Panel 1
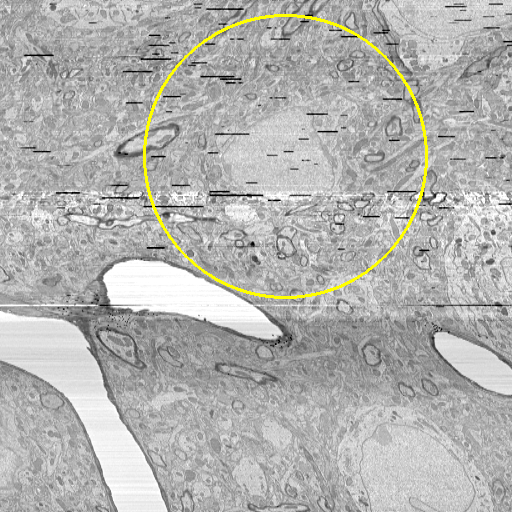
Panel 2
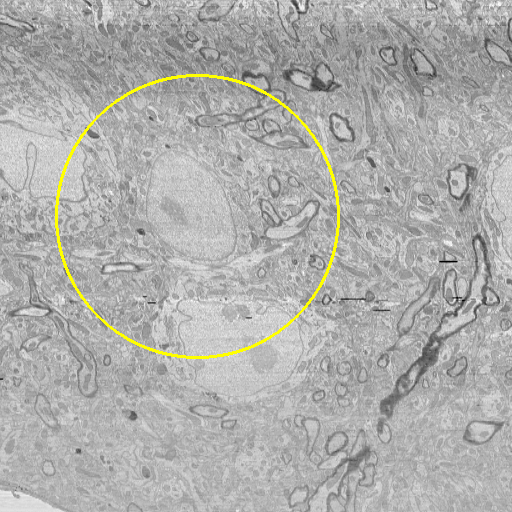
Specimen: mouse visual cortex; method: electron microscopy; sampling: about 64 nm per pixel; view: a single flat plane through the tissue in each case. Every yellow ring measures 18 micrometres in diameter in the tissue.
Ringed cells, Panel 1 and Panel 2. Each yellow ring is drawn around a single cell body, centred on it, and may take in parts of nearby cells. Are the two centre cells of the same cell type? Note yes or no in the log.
yes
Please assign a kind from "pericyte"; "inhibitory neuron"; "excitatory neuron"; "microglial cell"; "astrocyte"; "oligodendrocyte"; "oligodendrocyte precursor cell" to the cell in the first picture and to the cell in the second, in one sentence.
The first and the second cell are each an astrocyte.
